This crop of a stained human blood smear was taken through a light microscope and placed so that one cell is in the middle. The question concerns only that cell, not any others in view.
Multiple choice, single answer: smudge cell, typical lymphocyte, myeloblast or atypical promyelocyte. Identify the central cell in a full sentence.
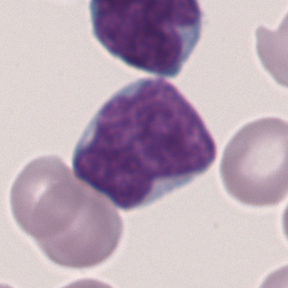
In the middle of this smear crop is a myeloblast.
